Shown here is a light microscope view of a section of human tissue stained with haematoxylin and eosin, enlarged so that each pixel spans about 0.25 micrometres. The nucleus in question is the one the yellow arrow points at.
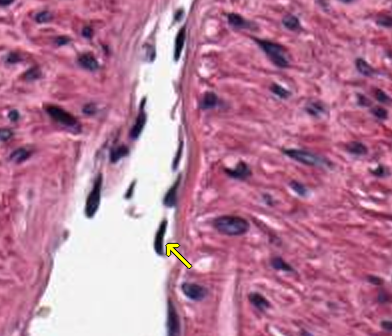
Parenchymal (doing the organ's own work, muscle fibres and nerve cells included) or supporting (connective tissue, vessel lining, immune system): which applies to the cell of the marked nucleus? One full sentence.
The cell that the marked nucleus belongs to is a supporting cell.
